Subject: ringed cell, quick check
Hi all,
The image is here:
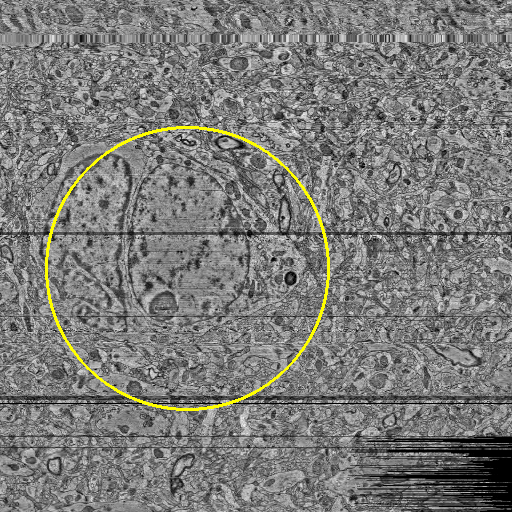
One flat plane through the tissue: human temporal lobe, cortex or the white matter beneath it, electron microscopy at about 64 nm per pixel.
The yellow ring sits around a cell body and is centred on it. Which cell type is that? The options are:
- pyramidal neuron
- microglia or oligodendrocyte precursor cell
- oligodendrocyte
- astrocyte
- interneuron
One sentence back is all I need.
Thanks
That ringed cell is a pyramidal neuron.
